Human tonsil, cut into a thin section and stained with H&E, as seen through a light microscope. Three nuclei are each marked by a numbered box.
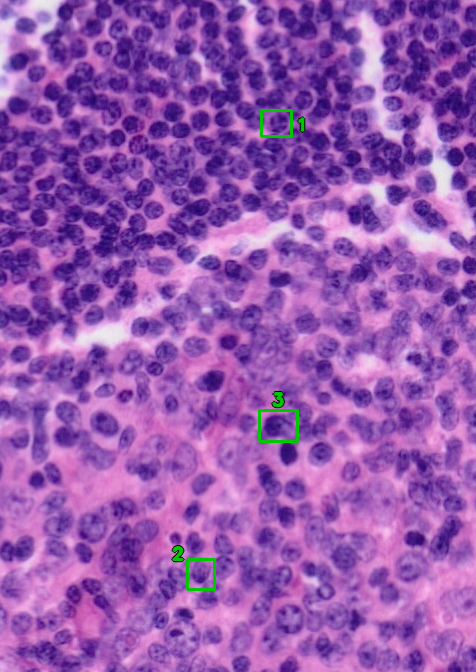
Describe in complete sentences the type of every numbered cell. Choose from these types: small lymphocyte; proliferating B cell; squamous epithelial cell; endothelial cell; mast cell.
Cell 1 is a small lymphocyte, cell 2 is a proliferating B cell and cell 3 is a proliferating B cell.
